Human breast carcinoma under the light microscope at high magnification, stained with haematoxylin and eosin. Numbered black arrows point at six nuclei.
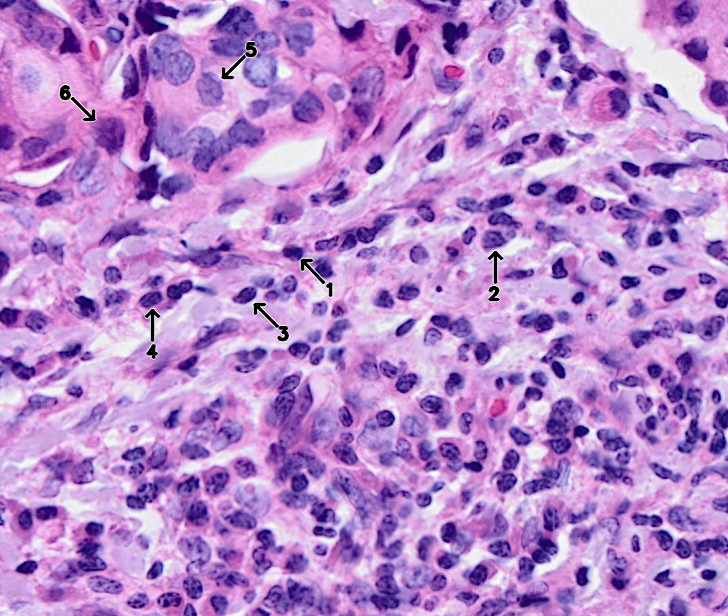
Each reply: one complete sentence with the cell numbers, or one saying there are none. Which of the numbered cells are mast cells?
Between them, the numbered cells include no mast cells.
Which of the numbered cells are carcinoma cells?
The cells whose numbers are 5 and 6 are carcinoma cells.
